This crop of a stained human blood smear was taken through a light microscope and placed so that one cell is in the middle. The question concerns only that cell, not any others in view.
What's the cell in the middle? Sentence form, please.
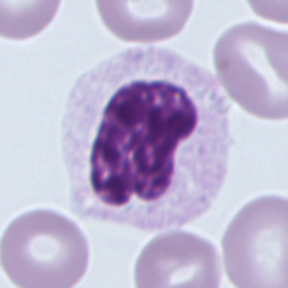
The middle cell in this particular crop is a segmented neutrophil.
